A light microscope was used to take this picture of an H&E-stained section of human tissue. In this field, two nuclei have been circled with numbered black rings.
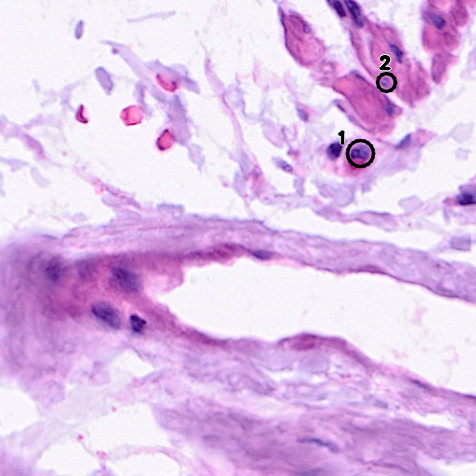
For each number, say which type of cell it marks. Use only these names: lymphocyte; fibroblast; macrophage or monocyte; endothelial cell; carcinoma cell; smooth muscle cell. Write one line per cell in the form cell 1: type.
cell 1: endothelial cell
cell 2: smooth muscle cell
